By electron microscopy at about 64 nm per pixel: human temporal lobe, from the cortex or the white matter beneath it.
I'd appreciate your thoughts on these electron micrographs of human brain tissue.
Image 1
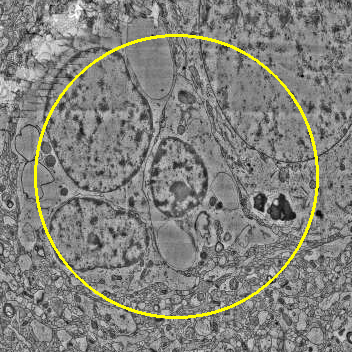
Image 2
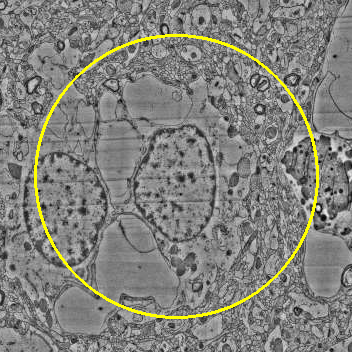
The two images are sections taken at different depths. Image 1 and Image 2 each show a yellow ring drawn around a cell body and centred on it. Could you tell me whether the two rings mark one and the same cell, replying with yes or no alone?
no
